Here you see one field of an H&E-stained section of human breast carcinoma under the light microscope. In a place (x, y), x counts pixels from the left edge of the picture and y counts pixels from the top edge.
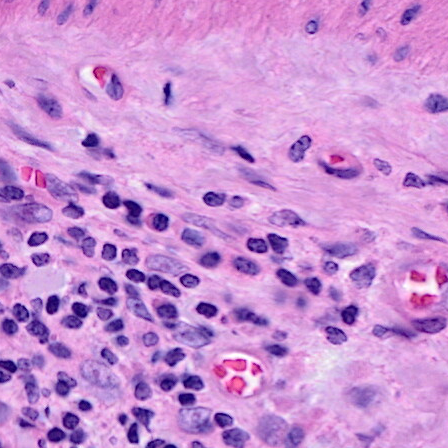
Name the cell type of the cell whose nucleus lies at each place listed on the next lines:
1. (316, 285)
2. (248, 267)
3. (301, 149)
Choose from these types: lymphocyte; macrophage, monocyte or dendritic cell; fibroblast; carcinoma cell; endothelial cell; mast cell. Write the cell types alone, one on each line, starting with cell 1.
lymphocyte
mast cell
mast cell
